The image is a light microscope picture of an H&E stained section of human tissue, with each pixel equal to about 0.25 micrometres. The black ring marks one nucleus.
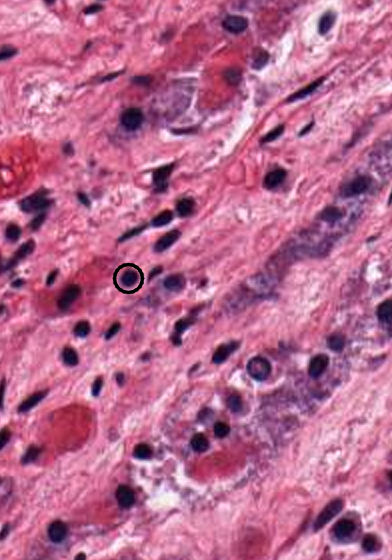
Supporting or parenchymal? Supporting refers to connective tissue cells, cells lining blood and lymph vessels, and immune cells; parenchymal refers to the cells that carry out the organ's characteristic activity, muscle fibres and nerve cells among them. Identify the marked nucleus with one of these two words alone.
supporting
